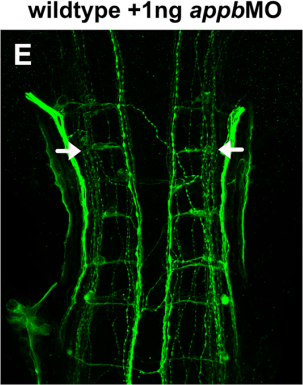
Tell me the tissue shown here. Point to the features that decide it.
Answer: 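Paired longitudinal fibre tracts run down either side of the midline. Thin commissural fibres cross between them in a repeated, segment-like ladder pattern. So: hindbrain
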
